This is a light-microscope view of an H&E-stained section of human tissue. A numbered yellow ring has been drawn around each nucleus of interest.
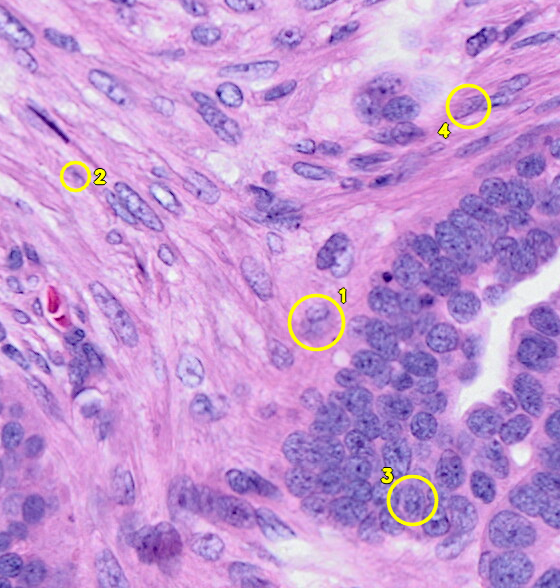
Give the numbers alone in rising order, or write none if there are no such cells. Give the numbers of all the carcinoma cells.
3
